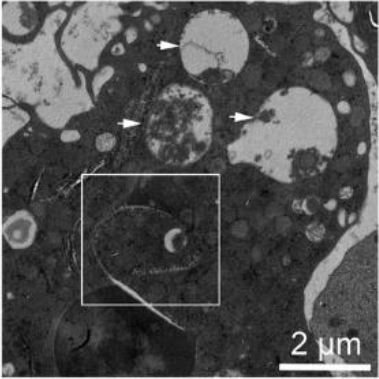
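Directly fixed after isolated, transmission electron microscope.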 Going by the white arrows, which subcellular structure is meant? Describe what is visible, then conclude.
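The arrows point to round pale membrane-bound compartments in the cytoplasm. One compartment contains fine granular material. That points to this answer: autophagic vacuoles.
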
